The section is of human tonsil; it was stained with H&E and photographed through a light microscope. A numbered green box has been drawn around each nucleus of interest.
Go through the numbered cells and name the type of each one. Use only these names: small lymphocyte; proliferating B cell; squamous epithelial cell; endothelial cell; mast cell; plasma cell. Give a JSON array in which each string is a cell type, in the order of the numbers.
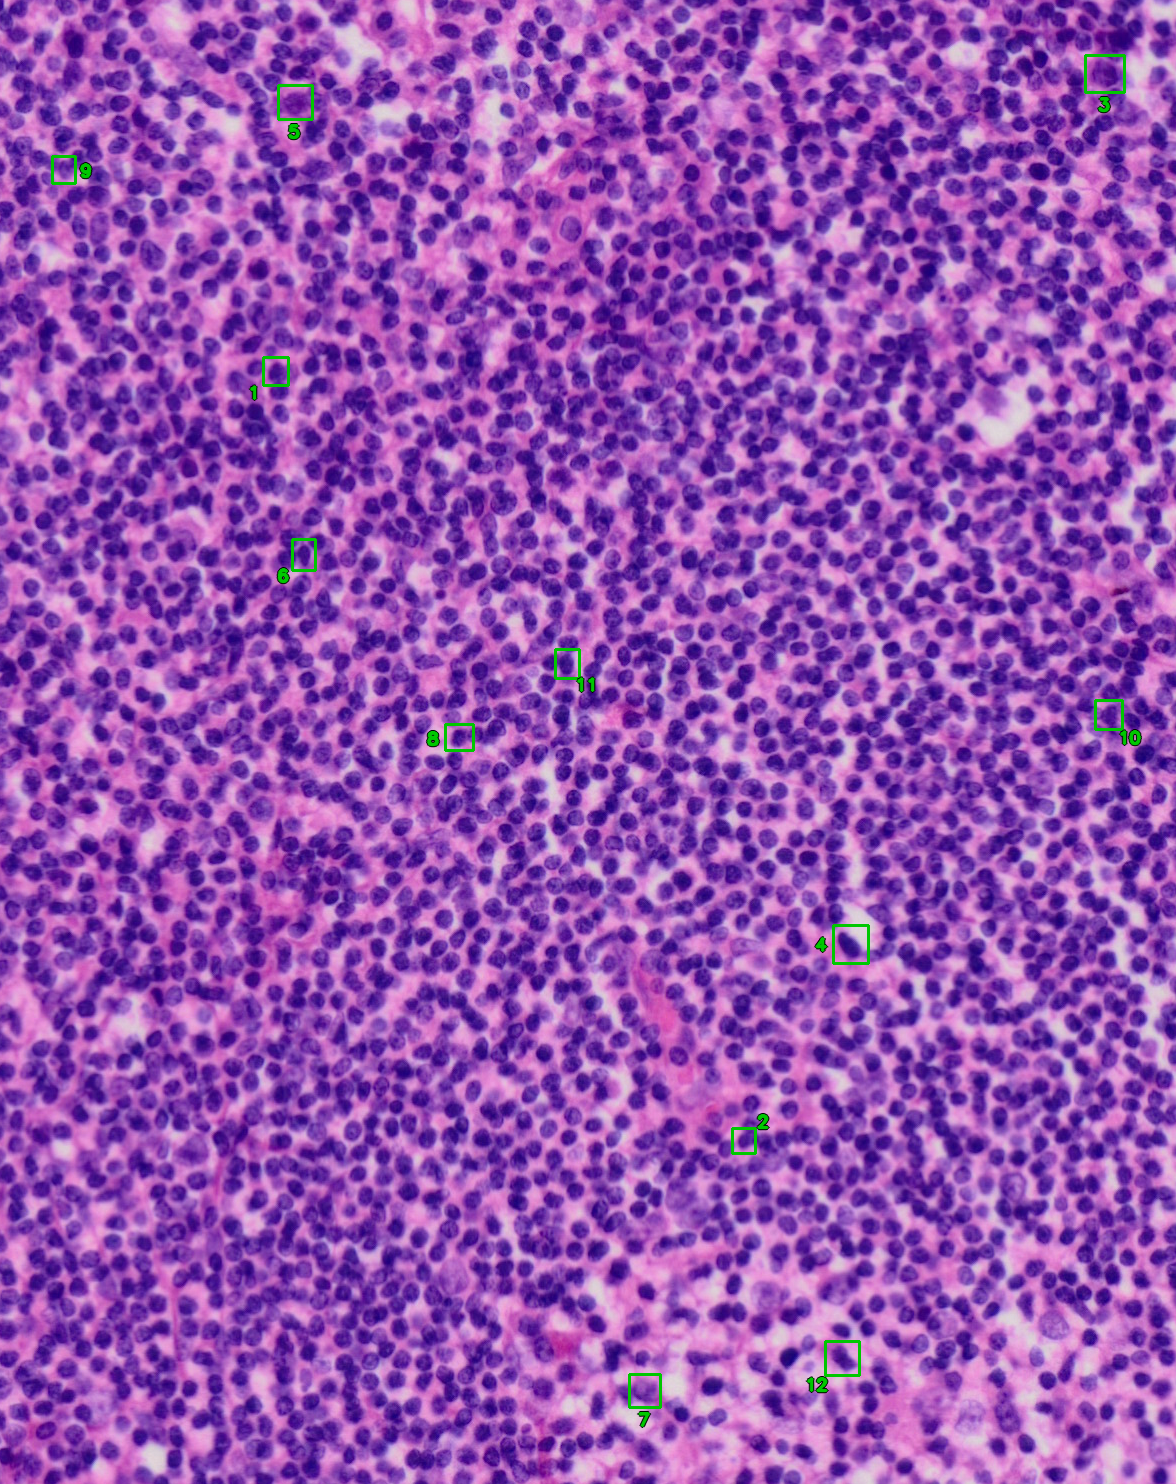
["small lymphocyte", "small lymphocyte", "proliferating B cell", "proliferating B cell", "proliferating B cell", "small lymphocyte", "proliferating B cell", "small lymphocyte", "small lymphocyte", "small lymphocyte", "small lymphocyte", "proliferating B cell"]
